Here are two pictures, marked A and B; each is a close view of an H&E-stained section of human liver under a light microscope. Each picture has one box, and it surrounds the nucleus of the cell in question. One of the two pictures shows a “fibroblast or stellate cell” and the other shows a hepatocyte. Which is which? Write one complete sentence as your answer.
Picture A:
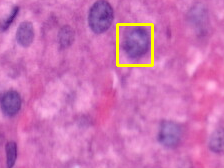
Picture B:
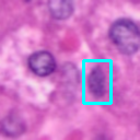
Picture A shows a hepatocyte and picture B shows a “fibroblast or stellate cell”.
